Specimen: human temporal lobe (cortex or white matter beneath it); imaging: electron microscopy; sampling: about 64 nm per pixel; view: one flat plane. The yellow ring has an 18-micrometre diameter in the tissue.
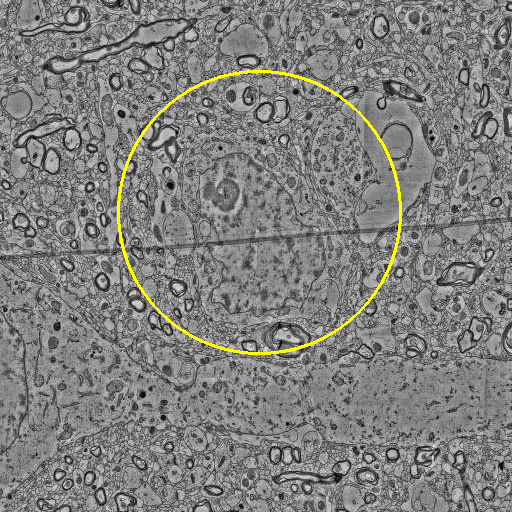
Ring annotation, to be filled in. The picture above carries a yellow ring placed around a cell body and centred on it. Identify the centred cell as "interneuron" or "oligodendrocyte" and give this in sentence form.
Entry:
The cell in the middle of the ring is an interneuron.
